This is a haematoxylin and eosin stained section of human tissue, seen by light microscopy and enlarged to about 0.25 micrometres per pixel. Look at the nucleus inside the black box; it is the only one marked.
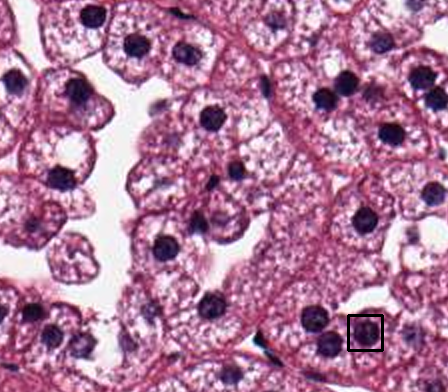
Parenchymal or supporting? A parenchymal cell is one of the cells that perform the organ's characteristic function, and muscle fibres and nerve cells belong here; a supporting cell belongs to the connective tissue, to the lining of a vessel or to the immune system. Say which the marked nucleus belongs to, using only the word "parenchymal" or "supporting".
parenchymal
